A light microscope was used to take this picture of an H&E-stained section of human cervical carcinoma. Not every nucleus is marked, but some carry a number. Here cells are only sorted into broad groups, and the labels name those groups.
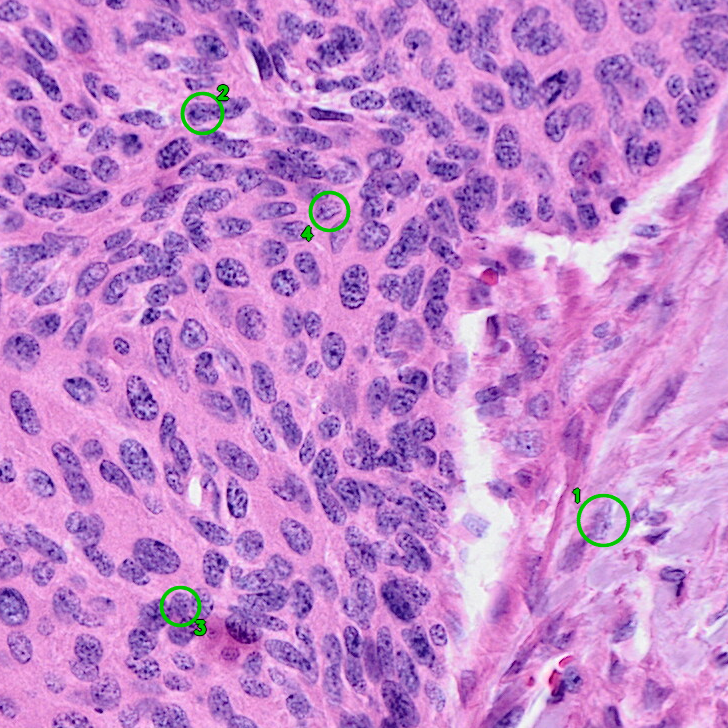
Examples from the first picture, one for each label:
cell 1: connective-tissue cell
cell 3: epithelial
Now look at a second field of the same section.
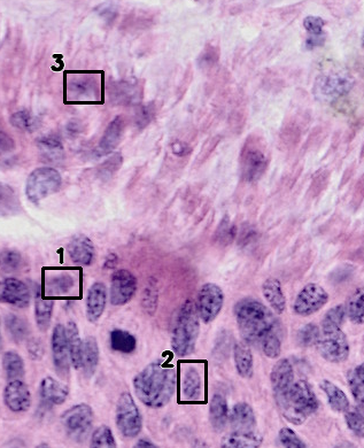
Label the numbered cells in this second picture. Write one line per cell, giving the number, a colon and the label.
1: epithelial
2: epithelial
3: connective-tissue cell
